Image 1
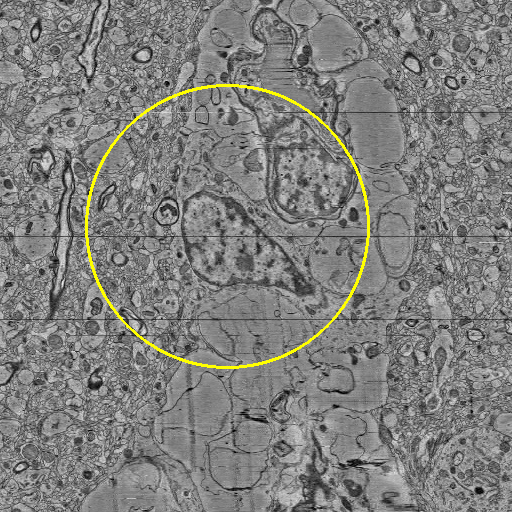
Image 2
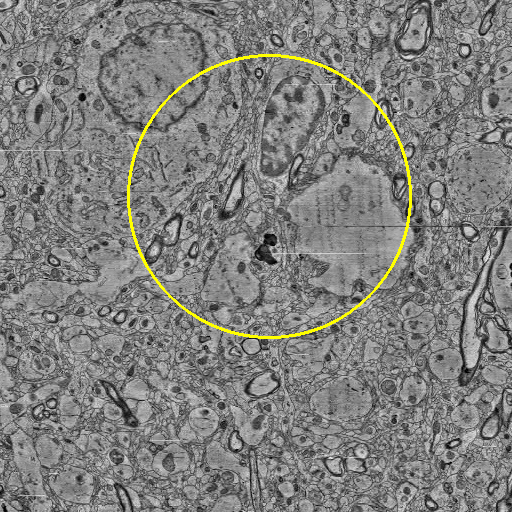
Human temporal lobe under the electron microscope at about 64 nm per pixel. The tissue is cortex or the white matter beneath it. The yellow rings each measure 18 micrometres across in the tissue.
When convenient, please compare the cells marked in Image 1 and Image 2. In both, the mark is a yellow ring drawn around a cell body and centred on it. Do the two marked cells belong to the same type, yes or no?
yes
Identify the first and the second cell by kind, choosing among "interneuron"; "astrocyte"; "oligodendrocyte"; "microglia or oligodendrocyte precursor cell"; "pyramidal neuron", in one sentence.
Each cell, in the first picture and the second, is a microglial cell or oligodendrocyte precursor cell.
